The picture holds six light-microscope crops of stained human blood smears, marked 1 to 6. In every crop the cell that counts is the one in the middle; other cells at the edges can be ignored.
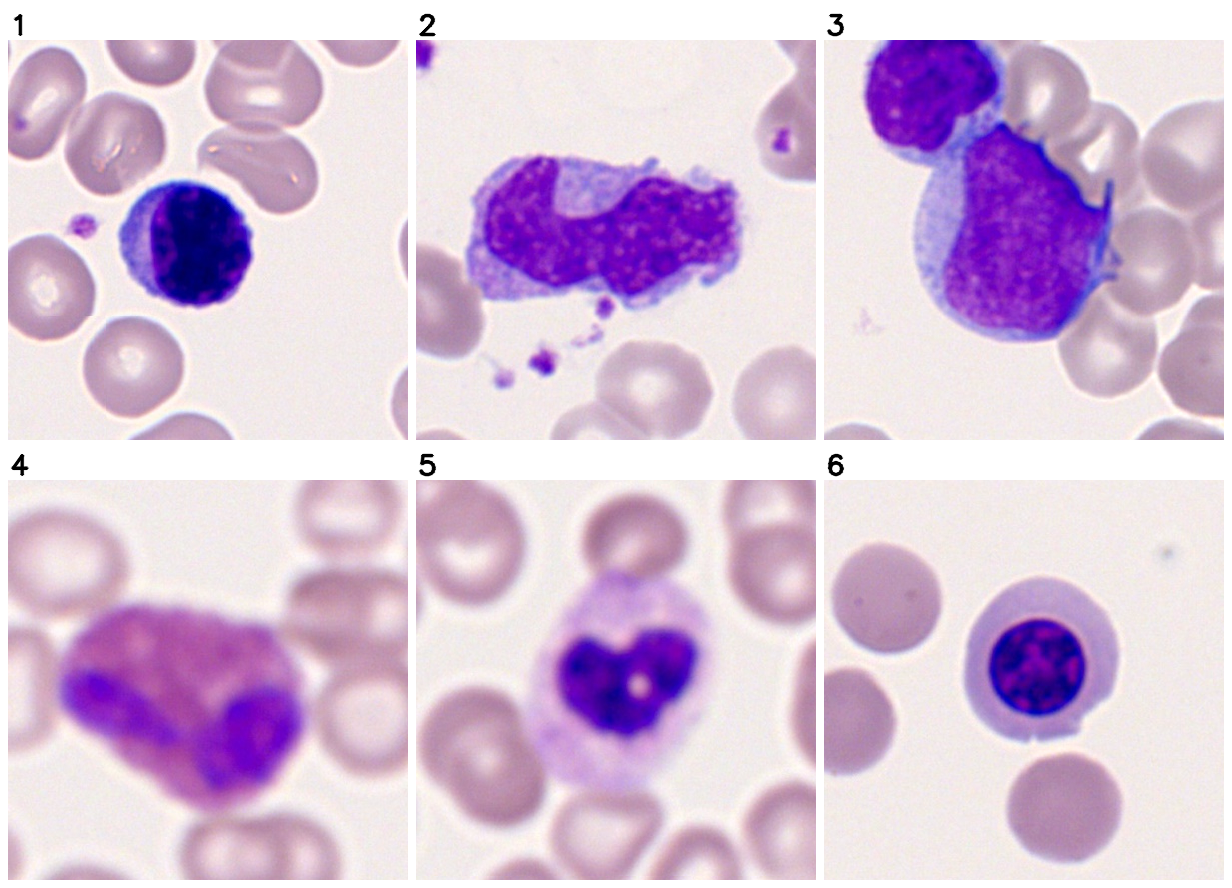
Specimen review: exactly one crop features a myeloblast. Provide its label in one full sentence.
The sole crop showing a myeloblast is crop 3.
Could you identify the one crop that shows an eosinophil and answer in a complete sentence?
The one that shows an eosinophil is crop 4.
